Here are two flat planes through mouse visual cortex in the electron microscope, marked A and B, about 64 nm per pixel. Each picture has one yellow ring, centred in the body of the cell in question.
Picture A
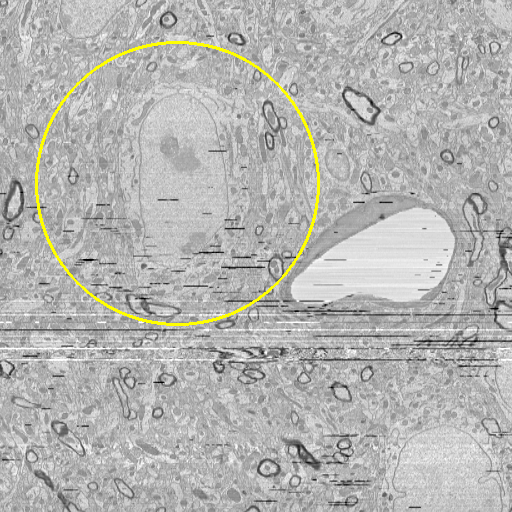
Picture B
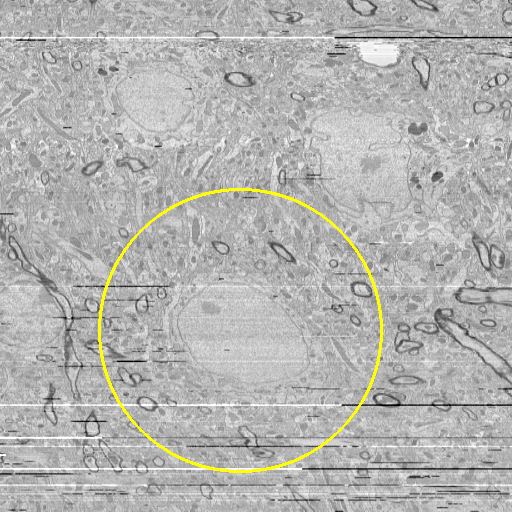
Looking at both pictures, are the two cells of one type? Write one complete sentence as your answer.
Yes, both cells are excitatory neurons.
